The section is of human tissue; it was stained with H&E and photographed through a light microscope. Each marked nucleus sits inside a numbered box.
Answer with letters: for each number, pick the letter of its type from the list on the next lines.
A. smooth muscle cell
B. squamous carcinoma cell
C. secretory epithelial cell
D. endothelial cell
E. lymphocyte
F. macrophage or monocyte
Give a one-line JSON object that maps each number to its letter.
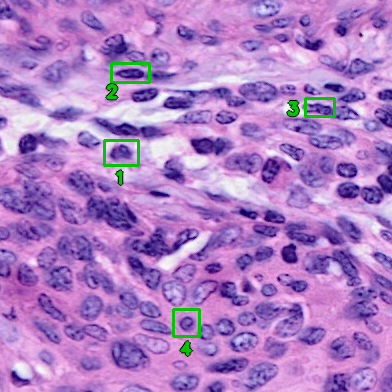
{"1": "E", "2": "E", "3": "E", "4": "B"}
